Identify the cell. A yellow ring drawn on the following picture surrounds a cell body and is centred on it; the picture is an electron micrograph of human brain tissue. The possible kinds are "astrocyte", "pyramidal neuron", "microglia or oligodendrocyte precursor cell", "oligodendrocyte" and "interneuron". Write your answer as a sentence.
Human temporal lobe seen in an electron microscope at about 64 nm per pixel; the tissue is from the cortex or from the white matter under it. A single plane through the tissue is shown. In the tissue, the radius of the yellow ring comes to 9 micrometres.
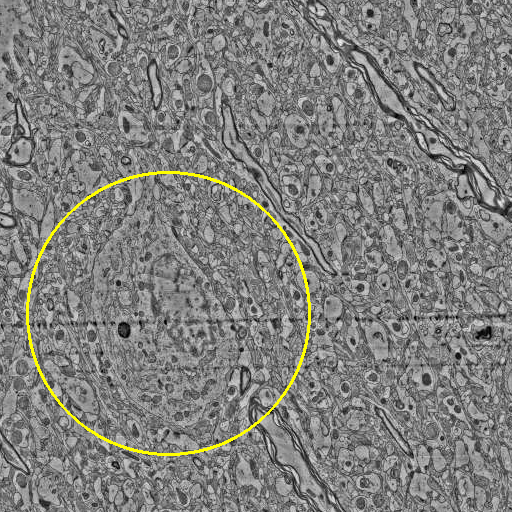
The cell identified by the ring is an interneuron.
